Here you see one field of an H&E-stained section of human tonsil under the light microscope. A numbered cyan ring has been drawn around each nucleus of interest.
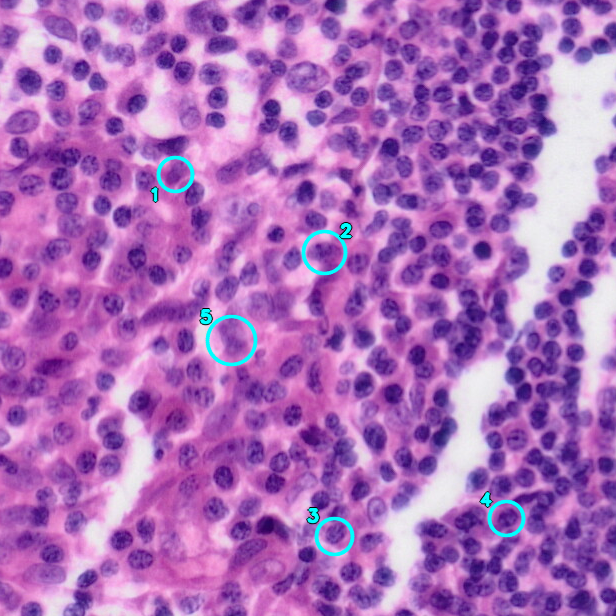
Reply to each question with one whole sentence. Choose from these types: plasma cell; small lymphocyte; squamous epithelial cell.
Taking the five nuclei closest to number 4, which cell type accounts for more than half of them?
Most of the five nuclei nearest to number 4 are those of small lymphocytes.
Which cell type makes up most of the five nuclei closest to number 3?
Plasma cells account for more than half of the five nuclei nearest to number 3.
